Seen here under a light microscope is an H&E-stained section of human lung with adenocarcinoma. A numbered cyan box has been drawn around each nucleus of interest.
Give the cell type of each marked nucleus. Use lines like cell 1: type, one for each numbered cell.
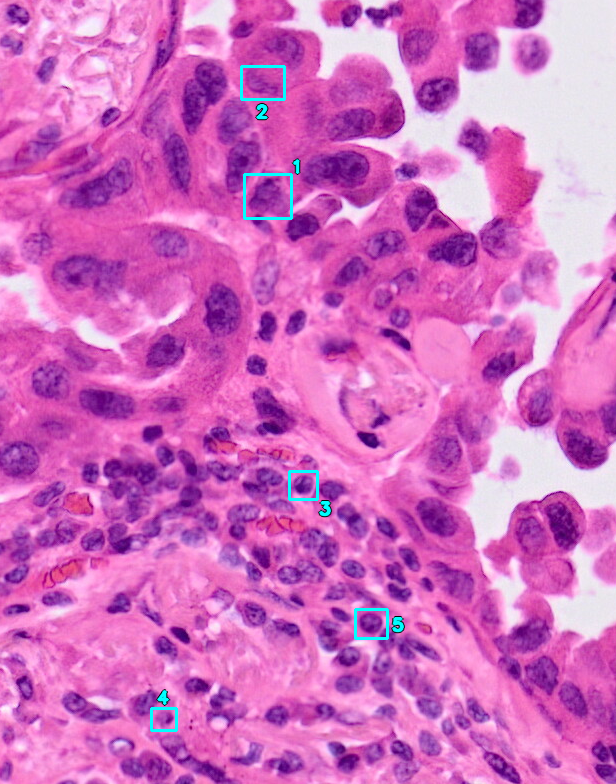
cell 1: carcinoma cell
cell 2: carcinoma cell
cell 3: lymphocyte
cell 4: plasma cell
cell 5: plasma cell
